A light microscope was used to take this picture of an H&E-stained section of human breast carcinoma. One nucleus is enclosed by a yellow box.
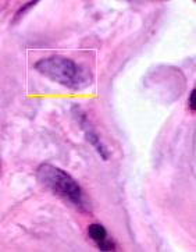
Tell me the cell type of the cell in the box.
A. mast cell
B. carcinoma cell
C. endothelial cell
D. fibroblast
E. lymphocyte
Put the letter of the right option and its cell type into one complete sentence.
Option D is right, and the cell in the box is a fibroblast.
